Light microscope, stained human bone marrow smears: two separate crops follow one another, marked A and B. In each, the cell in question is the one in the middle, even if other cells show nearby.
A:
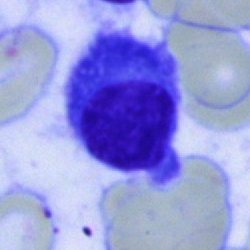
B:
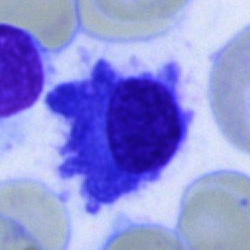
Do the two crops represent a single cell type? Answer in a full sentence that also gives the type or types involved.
Yes, in the middle of both crops lie plasma cells.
